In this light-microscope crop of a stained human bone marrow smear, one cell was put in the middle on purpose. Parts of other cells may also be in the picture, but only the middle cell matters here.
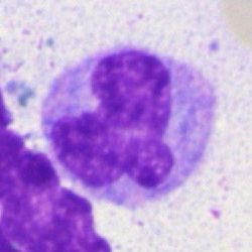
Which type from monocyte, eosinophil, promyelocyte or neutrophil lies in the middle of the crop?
monocyte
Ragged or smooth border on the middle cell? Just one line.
The border of this cell runs smooth and free of any projections.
